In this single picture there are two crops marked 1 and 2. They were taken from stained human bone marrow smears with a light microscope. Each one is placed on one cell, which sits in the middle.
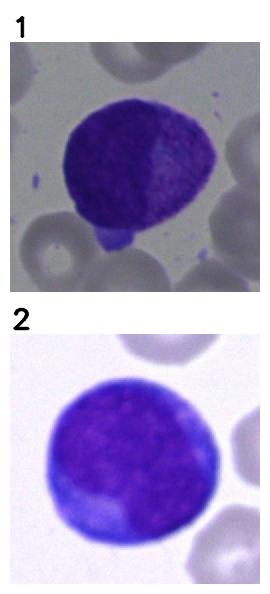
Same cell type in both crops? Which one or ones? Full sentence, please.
Yes, the crops both have blasts in the middle.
